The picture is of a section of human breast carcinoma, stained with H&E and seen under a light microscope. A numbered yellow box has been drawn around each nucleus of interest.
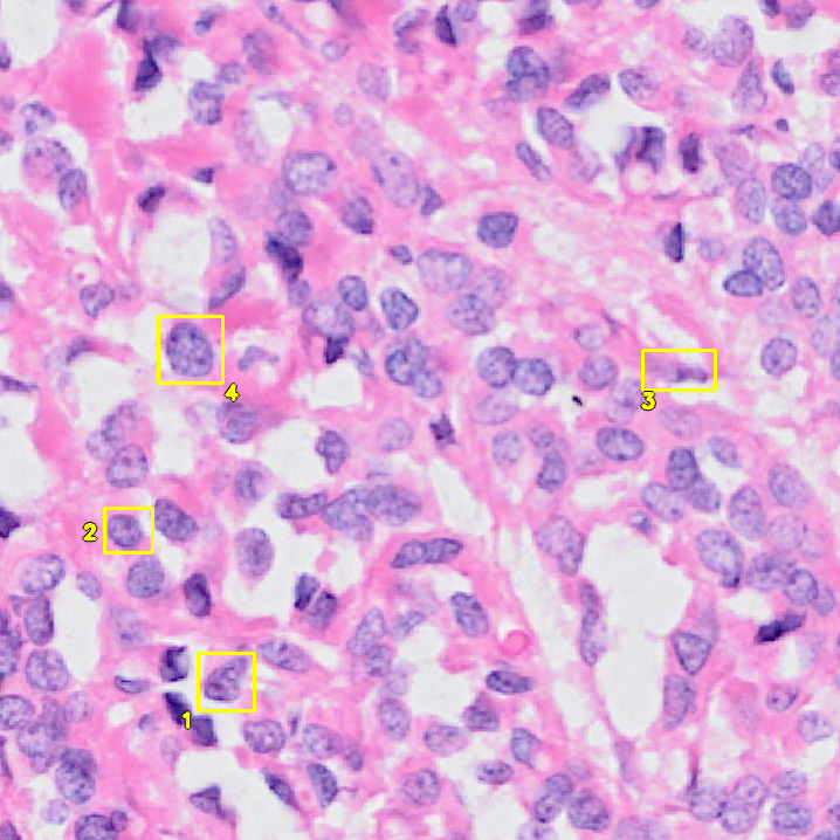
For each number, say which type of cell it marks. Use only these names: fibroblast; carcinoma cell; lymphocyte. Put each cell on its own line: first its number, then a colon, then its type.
1: carcinoma cell
2: carcinoma cell
3: fibroblast
4: carcinoma cell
